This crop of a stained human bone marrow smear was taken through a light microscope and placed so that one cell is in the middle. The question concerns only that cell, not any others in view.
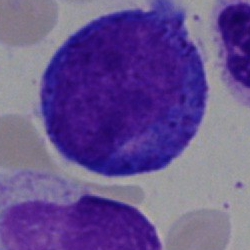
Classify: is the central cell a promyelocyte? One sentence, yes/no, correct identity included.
Yes, the cell under consideration, the one in the middle, is a promyelocyte.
